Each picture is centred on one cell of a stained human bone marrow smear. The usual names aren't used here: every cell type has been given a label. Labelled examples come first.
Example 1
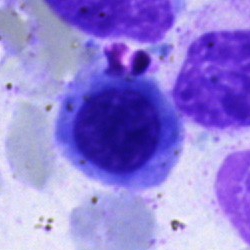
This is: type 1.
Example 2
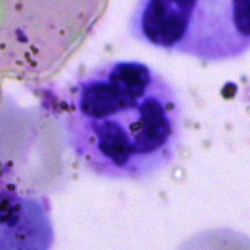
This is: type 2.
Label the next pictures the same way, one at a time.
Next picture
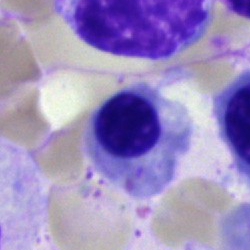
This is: type 1.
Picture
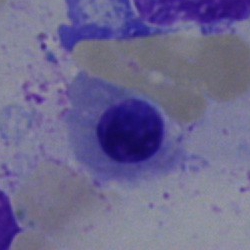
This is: type 1.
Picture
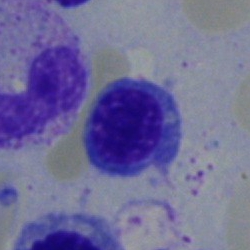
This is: type 1.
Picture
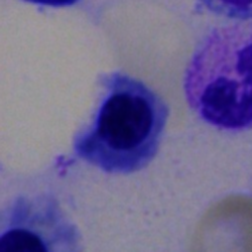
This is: type 1.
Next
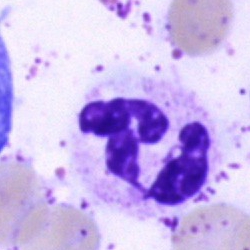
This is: type 2.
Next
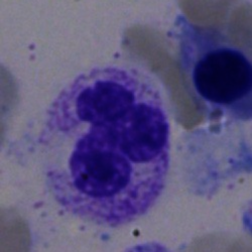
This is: type 2.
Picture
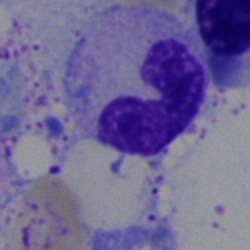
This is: type 2.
